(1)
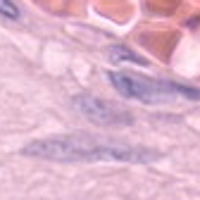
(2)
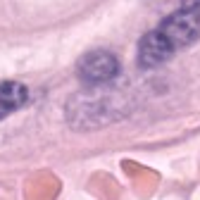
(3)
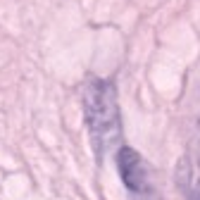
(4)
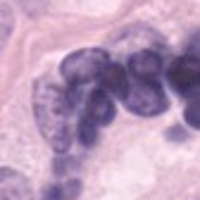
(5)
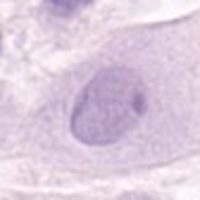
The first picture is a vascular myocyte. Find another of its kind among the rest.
Picture 3.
